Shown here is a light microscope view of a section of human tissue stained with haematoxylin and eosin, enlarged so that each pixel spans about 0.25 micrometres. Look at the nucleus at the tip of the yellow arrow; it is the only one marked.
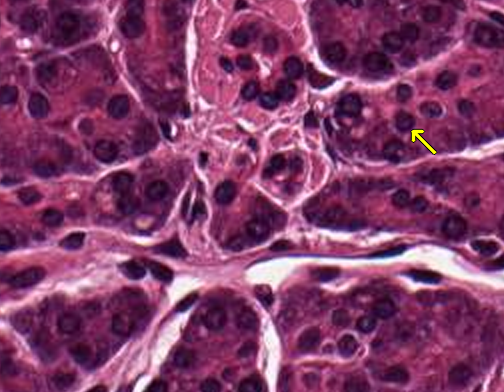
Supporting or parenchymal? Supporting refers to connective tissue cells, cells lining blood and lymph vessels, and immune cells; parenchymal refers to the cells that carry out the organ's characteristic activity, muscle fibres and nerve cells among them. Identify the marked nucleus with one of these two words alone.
parenchymal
